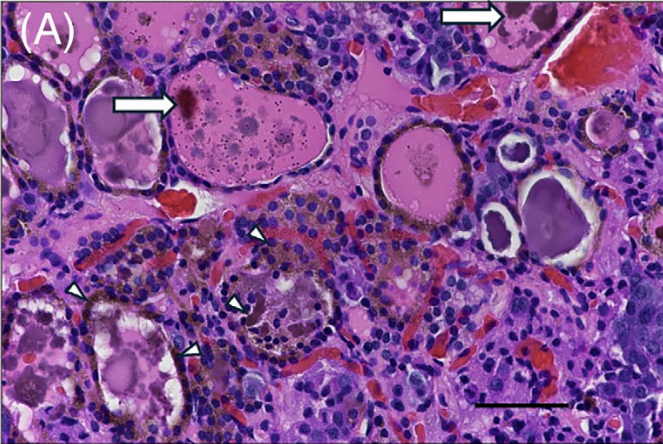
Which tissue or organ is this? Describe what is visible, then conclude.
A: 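Thyroid gland. Follicles lined by a single layer of cuboidal epithelial cells. Thin capillaries with red blood cells between follicles.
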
